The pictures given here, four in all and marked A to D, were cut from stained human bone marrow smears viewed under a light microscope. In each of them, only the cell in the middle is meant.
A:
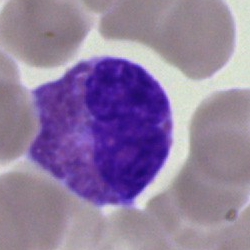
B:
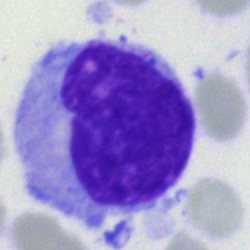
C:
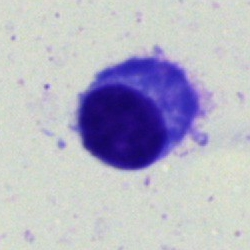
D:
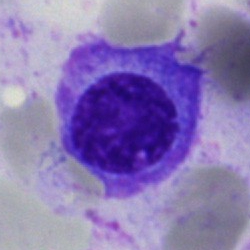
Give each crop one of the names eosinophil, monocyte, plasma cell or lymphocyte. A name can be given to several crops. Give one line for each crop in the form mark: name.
A: eosinophil
B: monocyte
C: plasma cell
D: plasma cell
